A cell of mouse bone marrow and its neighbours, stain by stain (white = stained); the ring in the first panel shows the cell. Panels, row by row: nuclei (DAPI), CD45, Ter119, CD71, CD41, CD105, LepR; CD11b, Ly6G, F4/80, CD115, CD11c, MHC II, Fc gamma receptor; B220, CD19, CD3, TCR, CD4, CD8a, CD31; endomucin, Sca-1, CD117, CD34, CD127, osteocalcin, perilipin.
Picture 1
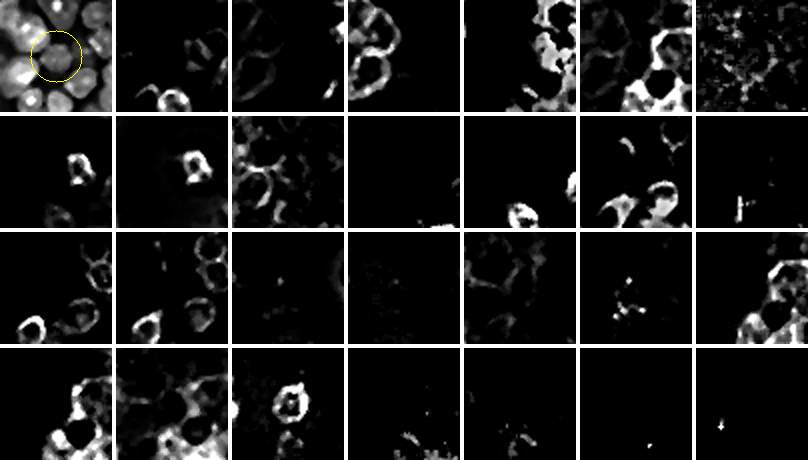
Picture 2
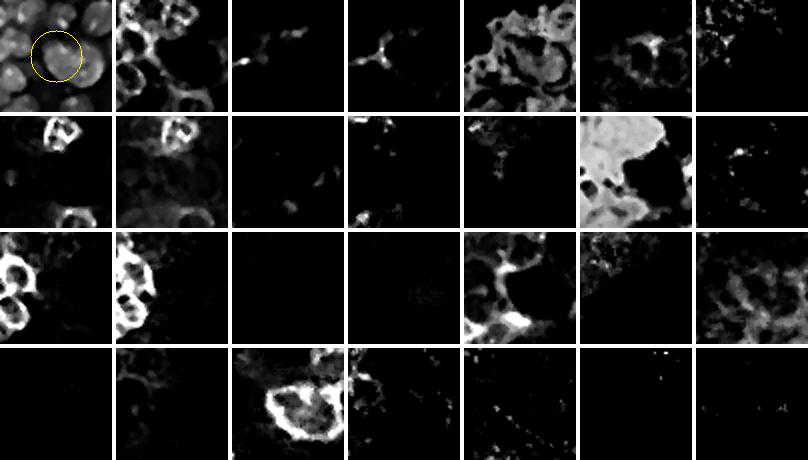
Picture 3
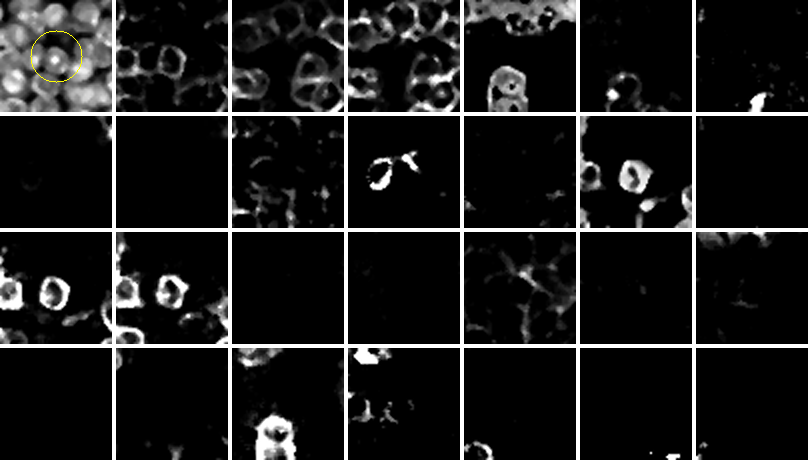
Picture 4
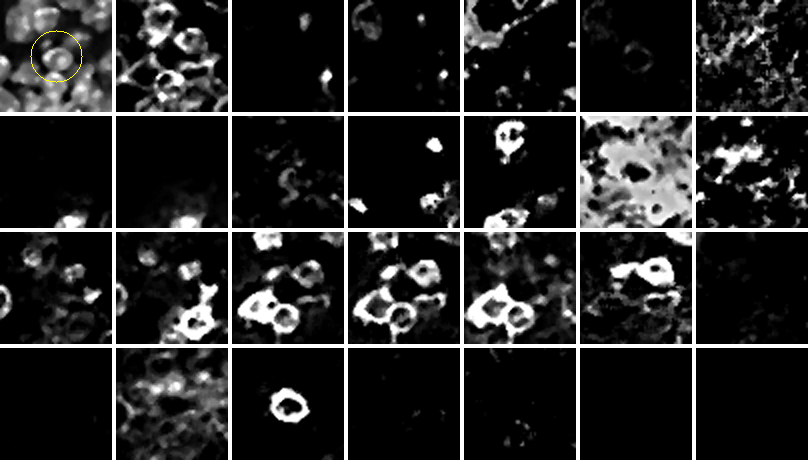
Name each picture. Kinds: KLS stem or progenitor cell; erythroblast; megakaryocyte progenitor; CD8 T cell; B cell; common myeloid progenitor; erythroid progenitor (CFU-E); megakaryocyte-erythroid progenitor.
(1) megakaryocyte-erythroid progenitor
(2) megakaryocyte-erythroid progenitor
(3) B cell
(4) KLS stem or progenitor cell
